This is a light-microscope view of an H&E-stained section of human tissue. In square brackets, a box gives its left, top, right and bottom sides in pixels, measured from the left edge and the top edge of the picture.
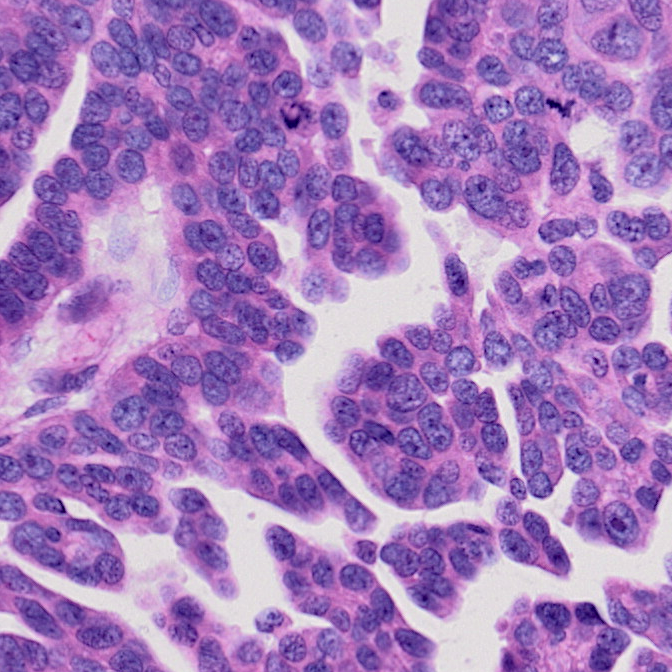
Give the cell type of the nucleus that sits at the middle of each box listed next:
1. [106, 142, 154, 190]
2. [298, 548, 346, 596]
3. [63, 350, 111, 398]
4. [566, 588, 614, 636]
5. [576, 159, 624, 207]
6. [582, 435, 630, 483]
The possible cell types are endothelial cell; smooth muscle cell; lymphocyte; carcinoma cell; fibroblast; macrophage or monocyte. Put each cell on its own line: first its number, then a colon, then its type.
1: carcinoma cell
2: carcinoma cell
3: fibroblast
4: carcinoma cell
5: macrophage or monocyte
6: carcinoma cell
